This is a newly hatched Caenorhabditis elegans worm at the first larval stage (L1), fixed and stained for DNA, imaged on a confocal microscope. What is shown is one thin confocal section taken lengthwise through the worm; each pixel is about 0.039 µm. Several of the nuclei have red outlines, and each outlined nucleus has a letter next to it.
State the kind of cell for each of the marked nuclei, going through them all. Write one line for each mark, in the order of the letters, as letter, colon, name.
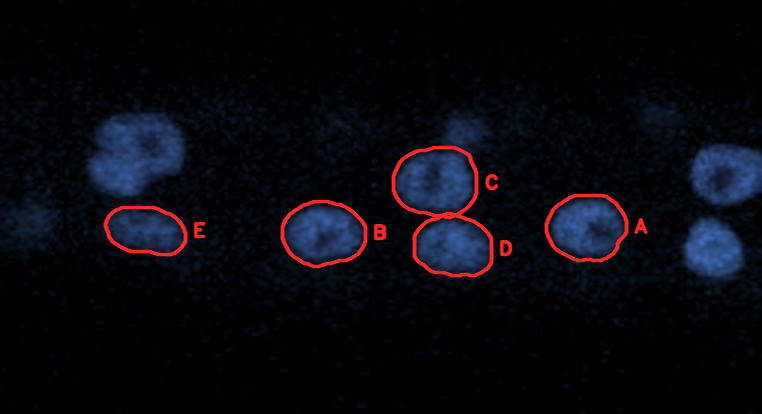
A: seam cell
B: seam cell
C: hypodermal cell (hyp)
D: P cell (ventral epidermal blast cell)
E: P cell (ventral epidermal blast cell)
